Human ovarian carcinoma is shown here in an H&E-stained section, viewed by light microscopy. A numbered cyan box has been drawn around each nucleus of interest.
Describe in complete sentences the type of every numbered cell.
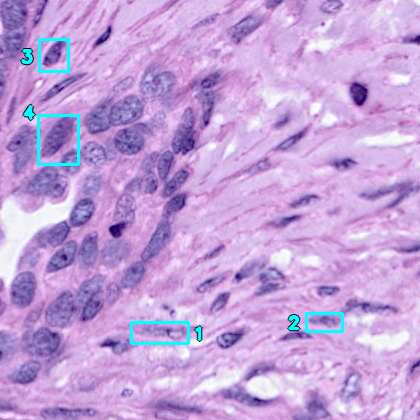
Cell 1 is a fibroblast, cell 2 is a fibroblast, cell 3 is a fibroblast and cell 4 is a carcinoma cell.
